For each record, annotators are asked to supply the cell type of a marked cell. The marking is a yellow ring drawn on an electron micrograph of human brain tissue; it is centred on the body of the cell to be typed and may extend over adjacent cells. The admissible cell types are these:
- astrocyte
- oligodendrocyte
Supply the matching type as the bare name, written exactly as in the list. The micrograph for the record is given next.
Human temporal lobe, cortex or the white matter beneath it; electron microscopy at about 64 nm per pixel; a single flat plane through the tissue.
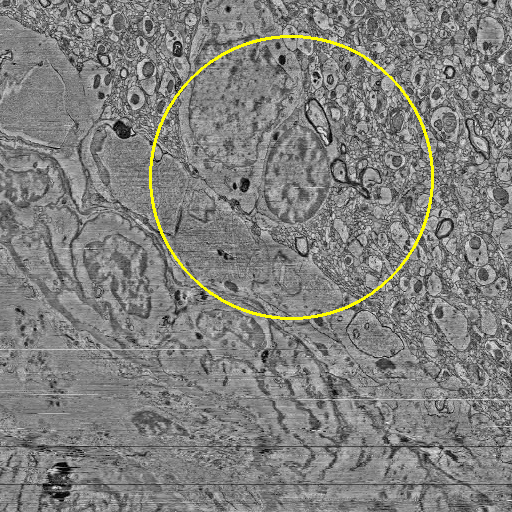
oligodendrocyte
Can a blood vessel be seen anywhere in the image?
Yes, there is a blood vessel in the image.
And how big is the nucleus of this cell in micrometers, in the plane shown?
About 6 by 4 micrometers, in this plane.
